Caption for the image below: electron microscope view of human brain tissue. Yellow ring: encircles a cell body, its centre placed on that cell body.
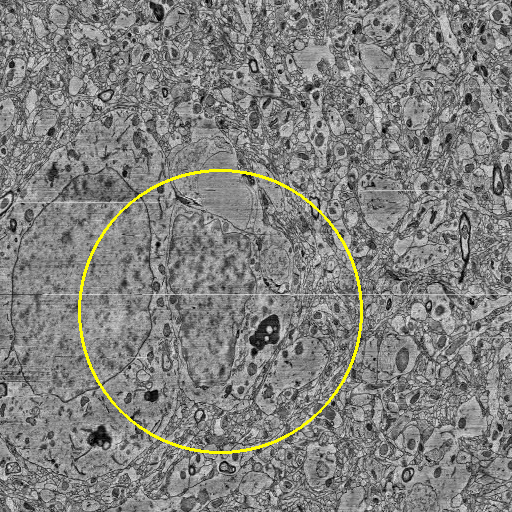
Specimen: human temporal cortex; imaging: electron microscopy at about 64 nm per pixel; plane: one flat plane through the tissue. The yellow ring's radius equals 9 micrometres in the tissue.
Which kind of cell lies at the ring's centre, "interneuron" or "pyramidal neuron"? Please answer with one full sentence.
The picture shows an interneuron at the centre of the yellow ring.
